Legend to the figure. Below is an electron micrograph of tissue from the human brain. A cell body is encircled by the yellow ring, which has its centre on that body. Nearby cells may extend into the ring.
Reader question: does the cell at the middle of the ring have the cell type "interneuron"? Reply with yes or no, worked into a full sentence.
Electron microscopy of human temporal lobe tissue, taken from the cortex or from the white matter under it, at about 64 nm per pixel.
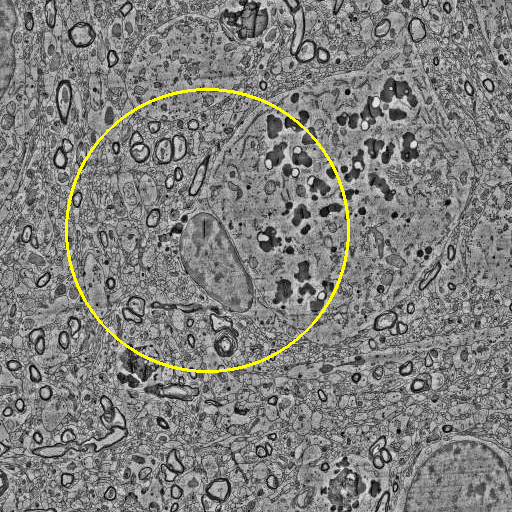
No, the cell sitting at the middle of the ring in the picture has another cell type.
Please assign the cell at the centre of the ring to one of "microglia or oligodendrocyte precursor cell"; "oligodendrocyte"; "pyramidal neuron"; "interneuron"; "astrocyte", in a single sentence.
The cell that the ring is centred on is a microglial cell or oligodendrocyte precursor cell.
